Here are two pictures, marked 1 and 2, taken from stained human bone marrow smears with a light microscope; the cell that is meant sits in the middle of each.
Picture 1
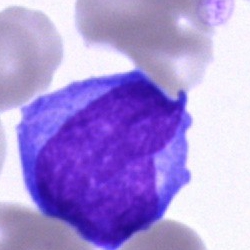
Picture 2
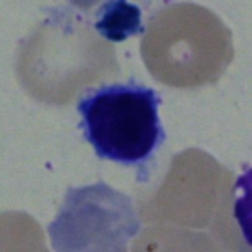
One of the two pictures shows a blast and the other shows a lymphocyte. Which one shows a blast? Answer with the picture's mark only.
1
